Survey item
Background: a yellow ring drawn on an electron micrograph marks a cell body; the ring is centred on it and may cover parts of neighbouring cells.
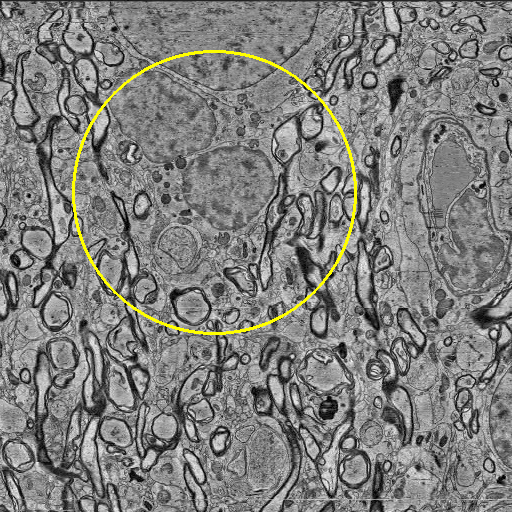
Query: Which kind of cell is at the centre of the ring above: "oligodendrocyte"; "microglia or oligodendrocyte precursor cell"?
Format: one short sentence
The cell in the middle of the ring is an oligodendrocyte.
